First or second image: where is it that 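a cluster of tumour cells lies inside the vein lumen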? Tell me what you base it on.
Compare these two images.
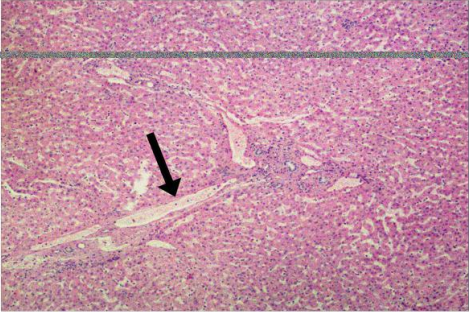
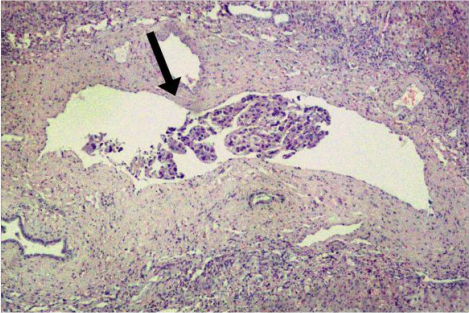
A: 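Second image: a dense purple cell cluster sits within a wide pale vessel lumen. First image: the elongated vessel lumen is empty, with no cell cluster inside.
Answer: the second image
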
